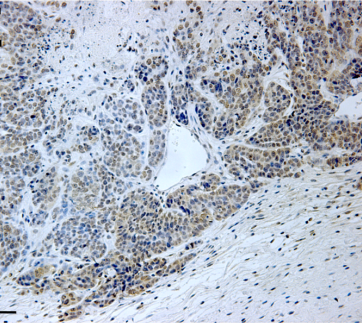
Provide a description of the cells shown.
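This is tumor tissue: irregular nests and cords of crowded epithelial tumor cells separated by bands of stroma with spindle-shaped cells. Many tumor cells show brown nuclear and some cytoplasmic staining, while stromal cells mostly have blue nuclei. The tumor cells have rounded to oval nuclei and scant cytoplasm and are packed without glandular lumens, apart from a small cleft-like space. The stroma at the lower right is paler and looser, with elongated nuclei running in parallel.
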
